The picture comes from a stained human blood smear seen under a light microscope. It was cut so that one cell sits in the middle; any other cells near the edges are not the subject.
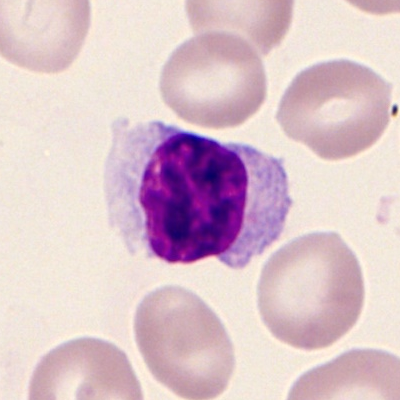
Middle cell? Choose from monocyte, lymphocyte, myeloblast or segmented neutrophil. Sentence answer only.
In the middle of this smear crop is a lymphocyte.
